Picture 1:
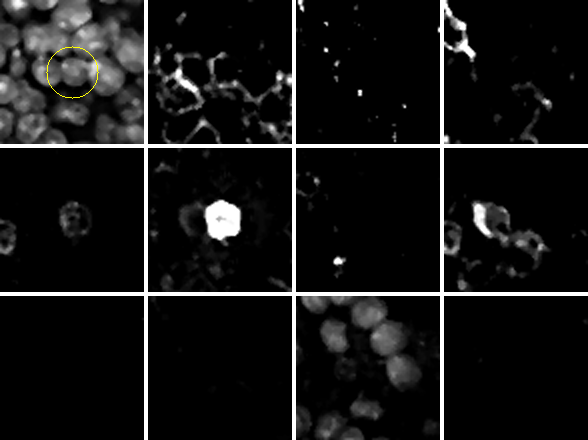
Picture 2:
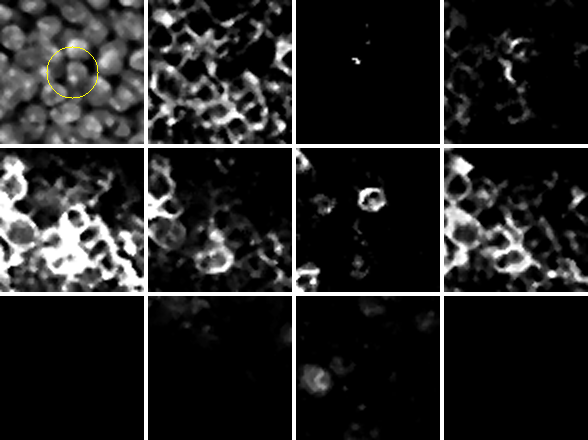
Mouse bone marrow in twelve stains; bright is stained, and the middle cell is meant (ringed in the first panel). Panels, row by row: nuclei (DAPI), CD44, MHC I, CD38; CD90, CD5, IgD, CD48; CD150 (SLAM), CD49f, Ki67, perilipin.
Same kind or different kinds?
Same: T cells.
